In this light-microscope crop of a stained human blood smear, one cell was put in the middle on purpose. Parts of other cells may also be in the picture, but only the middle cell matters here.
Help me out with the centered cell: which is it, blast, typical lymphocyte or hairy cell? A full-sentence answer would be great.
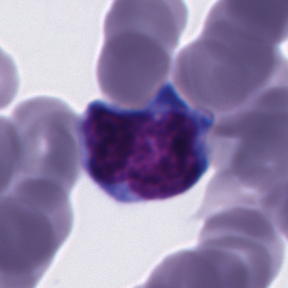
The cell nearest the centre of this crop is a typical lymphocyte.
